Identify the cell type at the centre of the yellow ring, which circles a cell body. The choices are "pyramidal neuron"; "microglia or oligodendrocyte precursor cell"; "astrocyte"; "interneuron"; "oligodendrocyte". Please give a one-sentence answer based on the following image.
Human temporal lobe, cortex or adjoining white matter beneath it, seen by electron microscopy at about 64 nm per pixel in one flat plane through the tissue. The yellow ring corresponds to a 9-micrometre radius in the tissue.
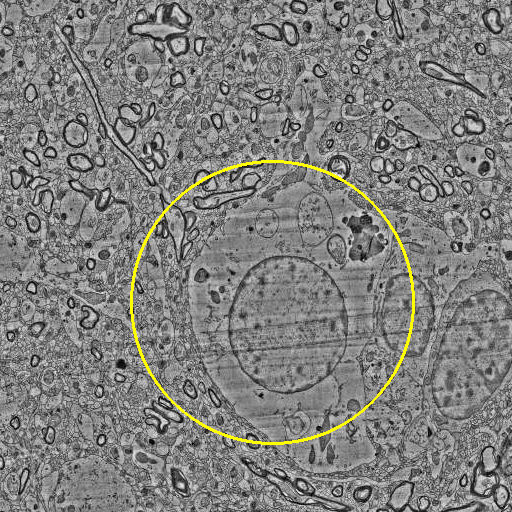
The cell marked by the ring is an astrocyte.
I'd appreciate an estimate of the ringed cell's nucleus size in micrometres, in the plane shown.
In this plane, approximately 9 by 8 micrometers.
